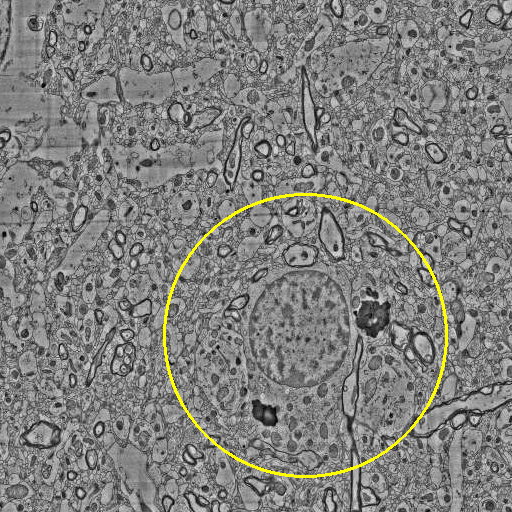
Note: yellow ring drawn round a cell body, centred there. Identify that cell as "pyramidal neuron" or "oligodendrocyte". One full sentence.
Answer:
The cell in the middle of the ring is an oligodendrocyte.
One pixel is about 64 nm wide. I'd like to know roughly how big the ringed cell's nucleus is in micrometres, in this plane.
Roughly 7 micrometers across, in this plane.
